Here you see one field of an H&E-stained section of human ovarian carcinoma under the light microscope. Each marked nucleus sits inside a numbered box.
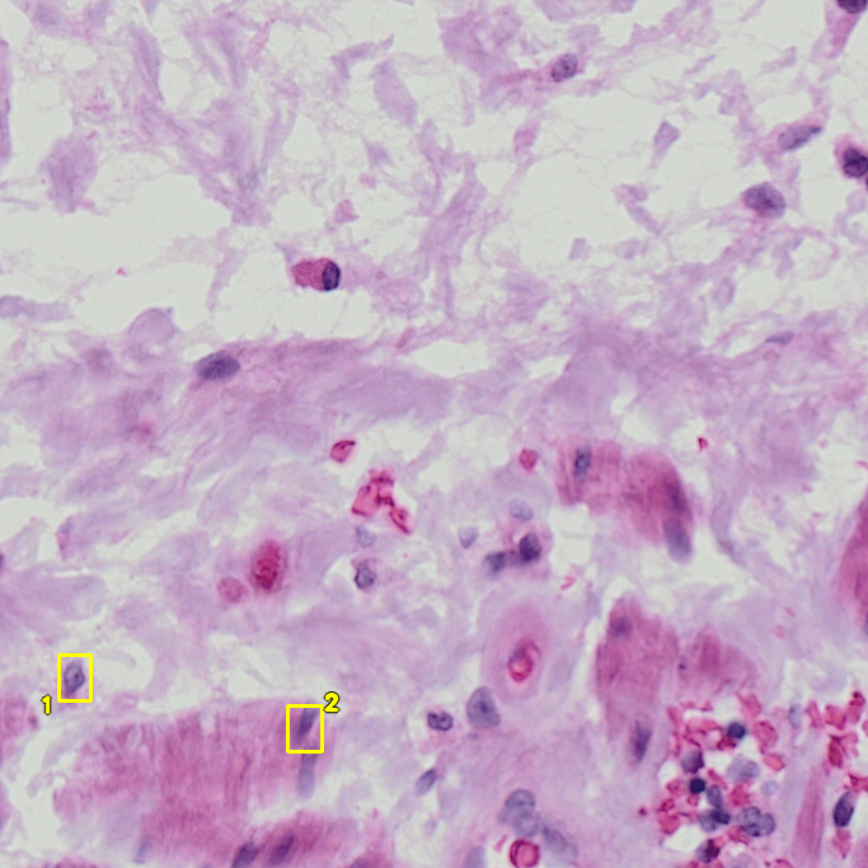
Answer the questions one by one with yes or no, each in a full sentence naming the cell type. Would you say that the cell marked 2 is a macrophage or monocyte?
No, number 2 marks a smooth muscle cell rather than a macrophage or monocyte.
